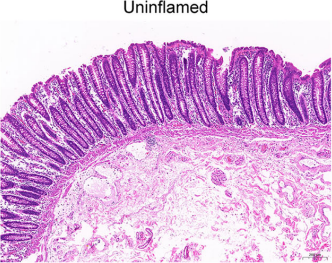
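Colonic wall with an intact mucosa of long, straight, closely packed crypts standing in parallel rows, their epithelium dark purple. Beneath lies a thin muscular band and a loose, pale pink submucosa with scattered vessels.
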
